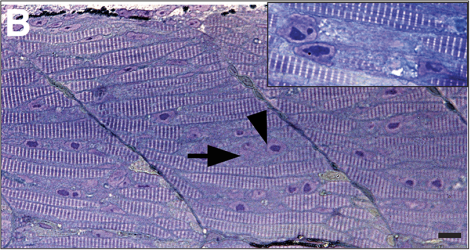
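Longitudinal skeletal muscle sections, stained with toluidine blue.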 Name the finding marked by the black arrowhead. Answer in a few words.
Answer: enlarged nucleoli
